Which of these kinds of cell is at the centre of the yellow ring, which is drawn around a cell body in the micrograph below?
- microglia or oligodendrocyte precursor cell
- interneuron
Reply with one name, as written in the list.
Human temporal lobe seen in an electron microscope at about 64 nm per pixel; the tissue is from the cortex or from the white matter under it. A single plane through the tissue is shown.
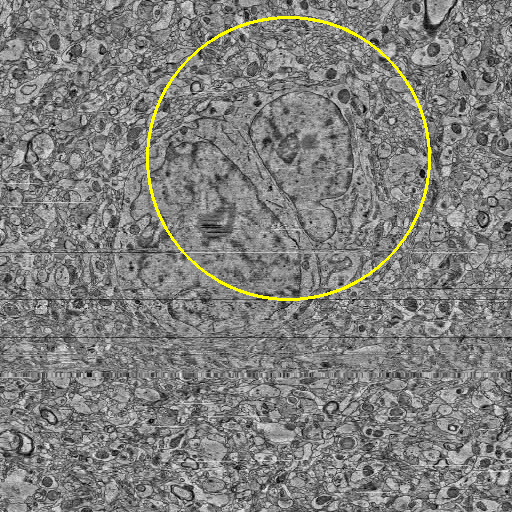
microglia or oligodendrocyte precursor cell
